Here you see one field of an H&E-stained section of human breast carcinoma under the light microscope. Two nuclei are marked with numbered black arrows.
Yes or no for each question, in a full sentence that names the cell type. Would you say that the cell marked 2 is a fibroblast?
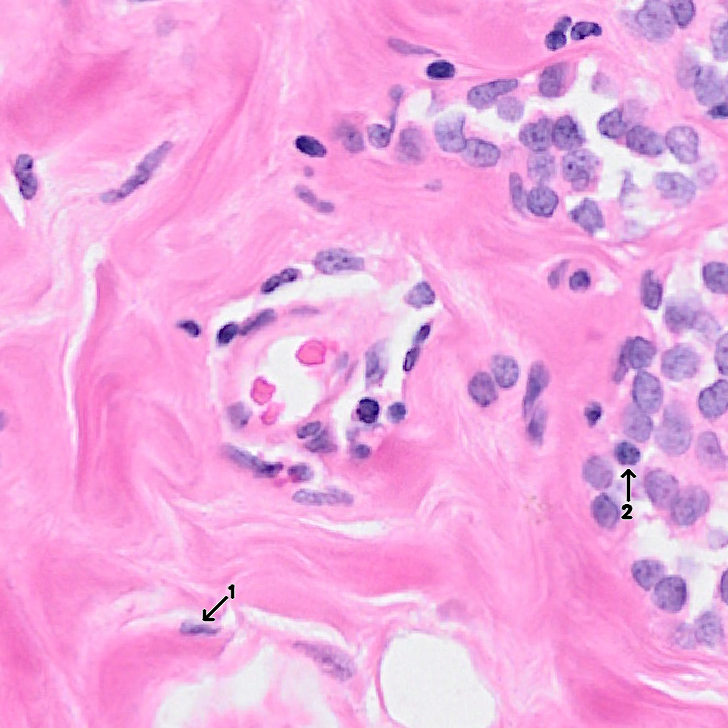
No, cell 2 is classified as a lymphocyte rather than a fibroblast.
